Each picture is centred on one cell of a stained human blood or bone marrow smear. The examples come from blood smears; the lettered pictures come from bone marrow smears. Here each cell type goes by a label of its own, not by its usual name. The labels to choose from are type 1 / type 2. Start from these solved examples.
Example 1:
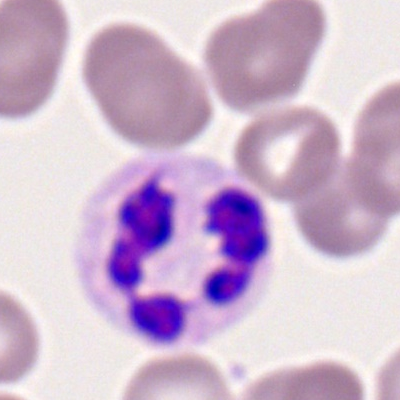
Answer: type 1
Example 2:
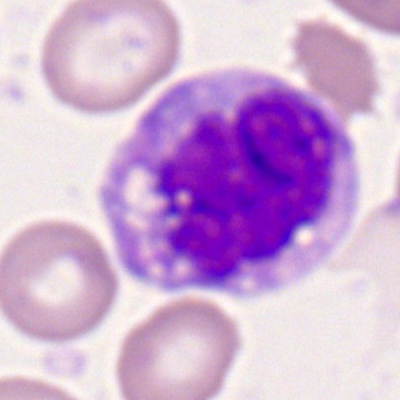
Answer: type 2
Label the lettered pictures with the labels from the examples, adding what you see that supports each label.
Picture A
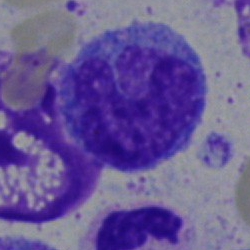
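type 2: The cytoplasm is a narrow blue rim around the nucleus.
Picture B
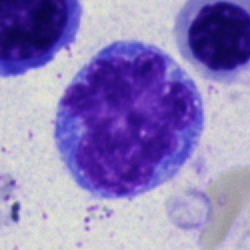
type 2: The nucleus fills most of the cell.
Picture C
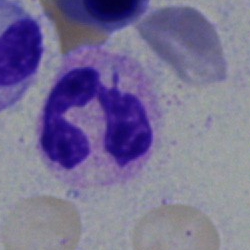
type 1: The cytoplasm is plentiful and pale pink.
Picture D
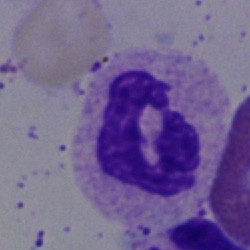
type 1: The cytoplasm is plentiful and pale lilac.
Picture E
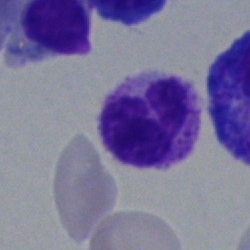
type 1: The cytoplasm contains fine purple granules.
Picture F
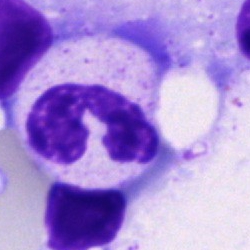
type 1: The cytoplasm is abundant and pale pinkish-lilac.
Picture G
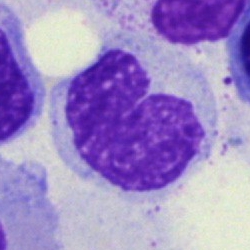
type 2: The nucleus fills most of the cell.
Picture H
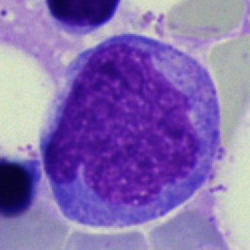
type 2: The nucleus fills most of the cell.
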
